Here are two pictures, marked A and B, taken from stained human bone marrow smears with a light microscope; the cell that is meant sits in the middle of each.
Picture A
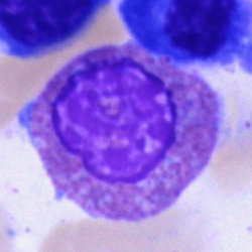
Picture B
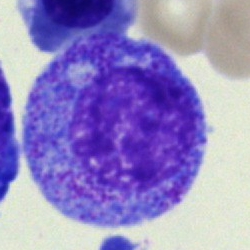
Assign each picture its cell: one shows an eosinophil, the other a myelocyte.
A: eosinophil
B: myelocyte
